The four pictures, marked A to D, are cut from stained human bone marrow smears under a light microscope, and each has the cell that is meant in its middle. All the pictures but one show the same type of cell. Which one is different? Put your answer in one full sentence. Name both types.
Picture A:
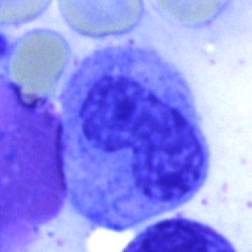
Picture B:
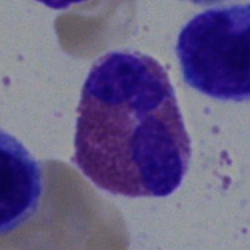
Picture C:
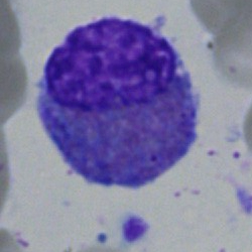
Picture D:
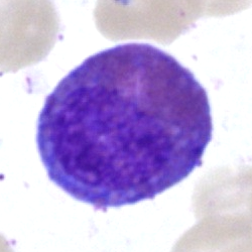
All pictures except A show eosinophils; picture A shows a metamyelocyte.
